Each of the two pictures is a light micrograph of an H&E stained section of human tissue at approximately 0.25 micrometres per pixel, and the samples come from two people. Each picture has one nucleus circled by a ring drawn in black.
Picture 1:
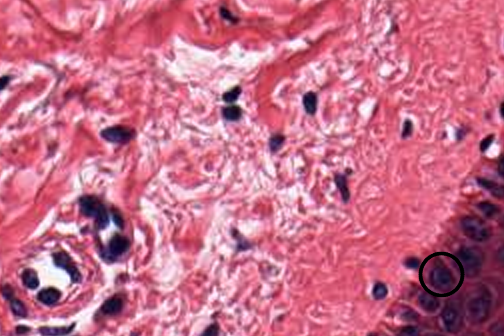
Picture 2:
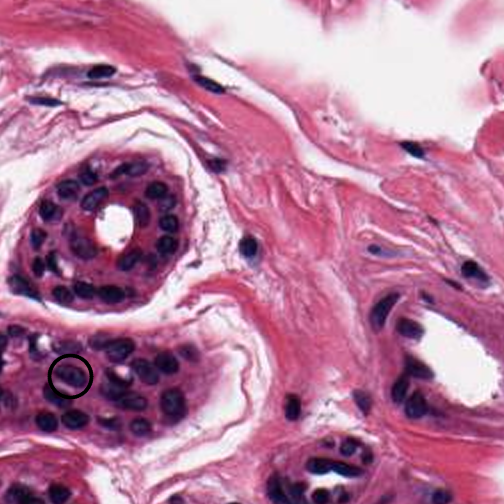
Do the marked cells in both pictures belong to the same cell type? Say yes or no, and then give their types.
No, the first is a keratinocyte and the second a sweat gland cell.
